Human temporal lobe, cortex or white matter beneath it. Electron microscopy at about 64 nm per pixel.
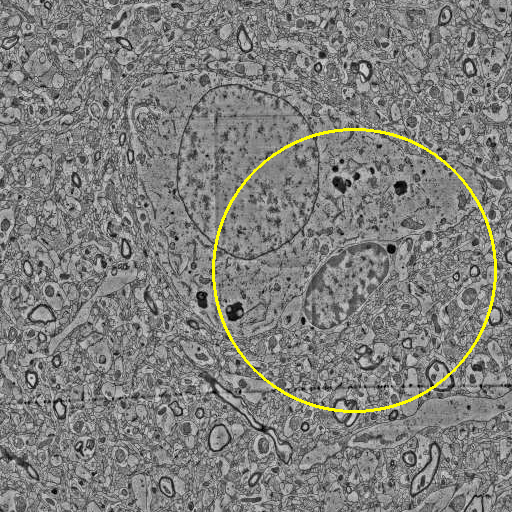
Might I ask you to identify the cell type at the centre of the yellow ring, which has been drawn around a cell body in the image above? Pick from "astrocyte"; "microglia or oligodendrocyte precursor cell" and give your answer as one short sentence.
The centre of the ring falls on a microglial cell or oligodendrocyte precursor cell.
